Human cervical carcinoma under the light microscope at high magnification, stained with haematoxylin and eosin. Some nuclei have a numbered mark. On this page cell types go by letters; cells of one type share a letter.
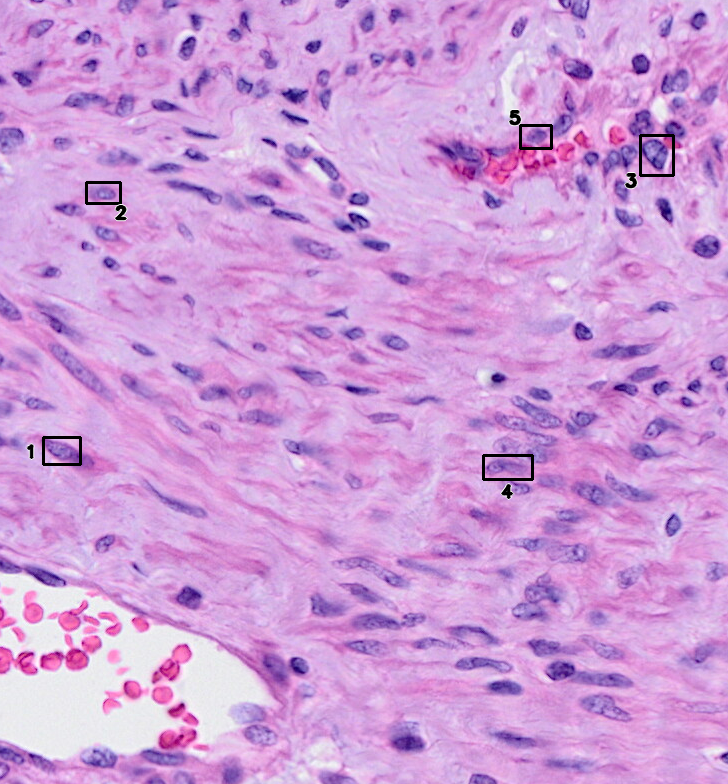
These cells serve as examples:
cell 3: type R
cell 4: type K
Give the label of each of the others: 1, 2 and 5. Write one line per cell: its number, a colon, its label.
1: type K
2: type K
5: type R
